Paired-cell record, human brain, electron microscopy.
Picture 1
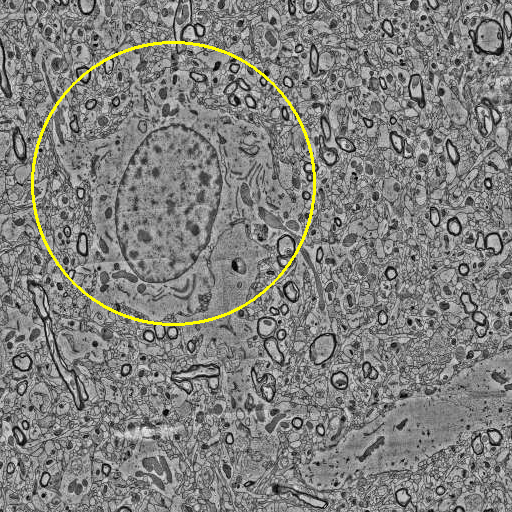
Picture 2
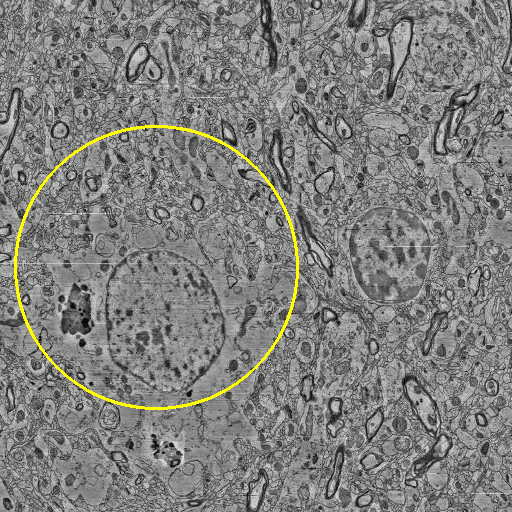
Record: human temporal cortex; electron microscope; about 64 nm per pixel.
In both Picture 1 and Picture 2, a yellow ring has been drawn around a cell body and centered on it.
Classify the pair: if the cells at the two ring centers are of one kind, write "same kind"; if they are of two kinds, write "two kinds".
same kind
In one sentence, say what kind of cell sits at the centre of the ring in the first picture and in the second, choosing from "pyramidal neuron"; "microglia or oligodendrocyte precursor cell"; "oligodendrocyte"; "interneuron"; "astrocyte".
The ring centre holds an astrocyte in each of the two pictures.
